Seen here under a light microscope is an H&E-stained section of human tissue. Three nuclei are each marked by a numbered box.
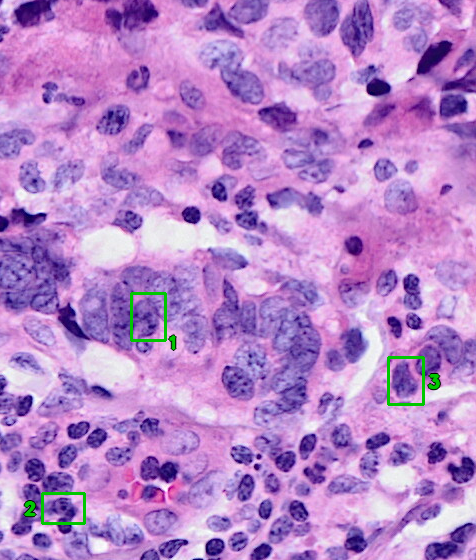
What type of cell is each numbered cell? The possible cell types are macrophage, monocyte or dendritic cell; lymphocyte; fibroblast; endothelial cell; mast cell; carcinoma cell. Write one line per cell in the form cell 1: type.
cell 1: carcinoma cell
cell 2: lymphocyte
cell 3: carcinoma cell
